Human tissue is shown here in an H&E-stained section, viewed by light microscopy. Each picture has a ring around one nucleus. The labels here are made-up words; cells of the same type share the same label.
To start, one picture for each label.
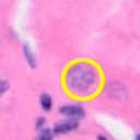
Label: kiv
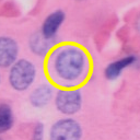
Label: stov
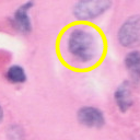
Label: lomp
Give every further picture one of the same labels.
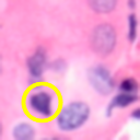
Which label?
stov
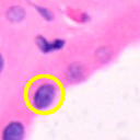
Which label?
lomp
